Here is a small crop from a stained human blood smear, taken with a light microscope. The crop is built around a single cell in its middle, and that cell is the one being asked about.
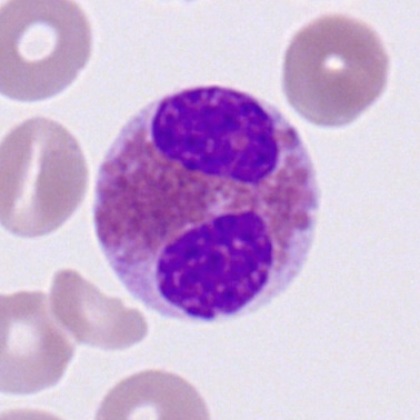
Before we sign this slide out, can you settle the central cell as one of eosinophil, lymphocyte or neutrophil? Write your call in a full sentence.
The single cell at the center of the crop is an eosinophil.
